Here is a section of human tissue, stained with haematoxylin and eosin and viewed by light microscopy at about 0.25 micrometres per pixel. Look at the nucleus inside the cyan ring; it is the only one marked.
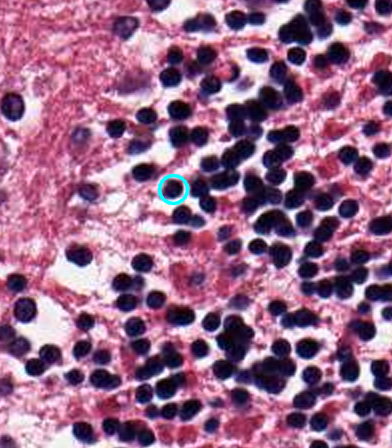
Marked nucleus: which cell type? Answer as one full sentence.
The nucleus bearing the mark belongs to a cerebellar granule cell.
